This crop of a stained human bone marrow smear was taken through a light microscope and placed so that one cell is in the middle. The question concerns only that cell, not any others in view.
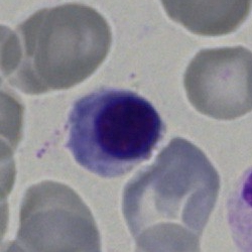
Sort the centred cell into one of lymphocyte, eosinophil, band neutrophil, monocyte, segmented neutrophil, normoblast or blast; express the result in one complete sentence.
At the middle of the frame sits a normoblast.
